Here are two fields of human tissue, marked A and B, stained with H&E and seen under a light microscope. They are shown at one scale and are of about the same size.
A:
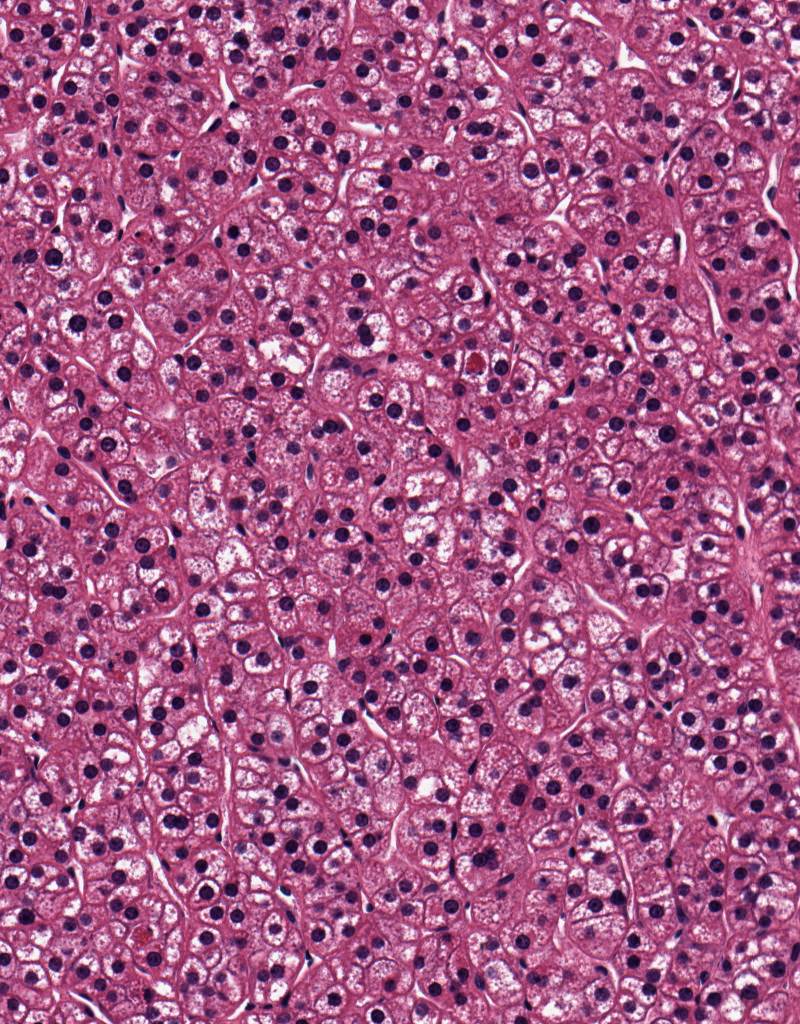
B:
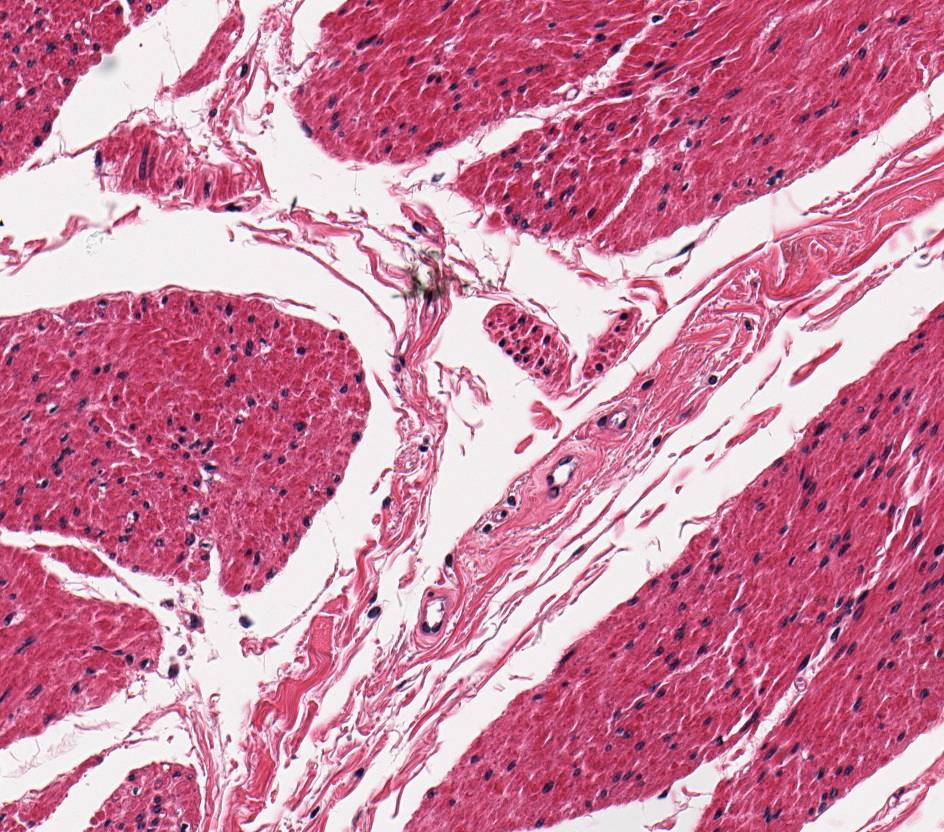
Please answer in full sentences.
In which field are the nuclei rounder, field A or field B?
On the whole the nuclei of field A are rounder than those of field B.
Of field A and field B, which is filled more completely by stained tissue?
It is field A that stained tissue fills more completely.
